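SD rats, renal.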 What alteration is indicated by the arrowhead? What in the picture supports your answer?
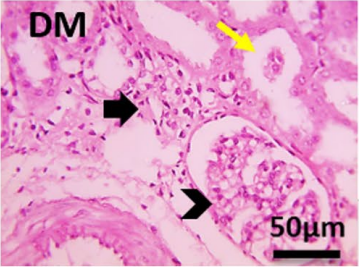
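A wide clear gap separates the glomerular tuft from its capsule. That points to this answer: widened Bowman's space.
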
